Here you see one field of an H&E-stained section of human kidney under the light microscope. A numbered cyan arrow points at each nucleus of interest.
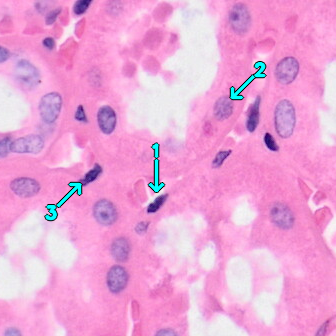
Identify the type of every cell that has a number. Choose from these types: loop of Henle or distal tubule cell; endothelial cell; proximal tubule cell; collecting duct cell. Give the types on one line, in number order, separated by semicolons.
endothelial cell; proximal tubule cell; endothelial cell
